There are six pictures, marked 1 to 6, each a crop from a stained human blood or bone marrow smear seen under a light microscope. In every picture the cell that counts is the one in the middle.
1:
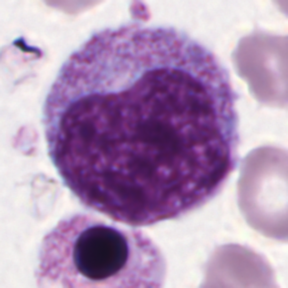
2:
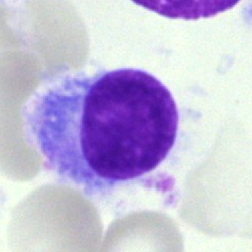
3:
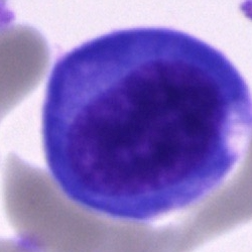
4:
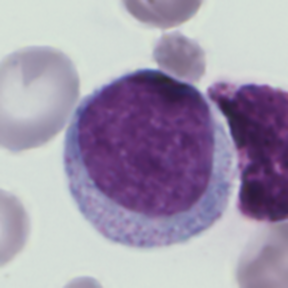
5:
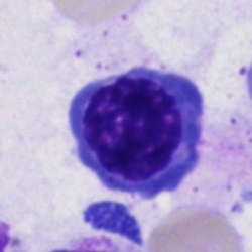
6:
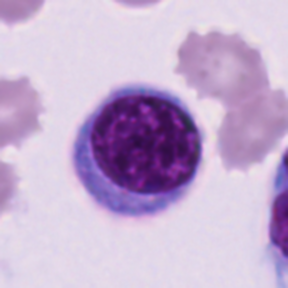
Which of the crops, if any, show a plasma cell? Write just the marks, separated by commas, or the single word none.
3, 6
